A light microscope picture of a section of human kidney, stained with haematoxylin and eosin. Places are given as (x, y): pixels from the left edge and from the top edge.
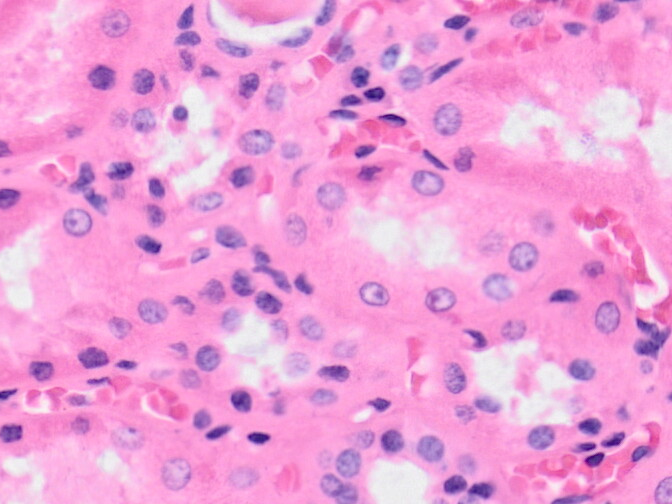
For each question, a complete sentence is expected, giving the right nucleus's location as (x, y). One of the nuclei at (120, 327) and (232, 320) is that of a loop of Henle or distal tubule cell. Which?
Of the two, the nucleus lying at (232, 320) is the one belonging to a loop of Henle or distal tubule cell.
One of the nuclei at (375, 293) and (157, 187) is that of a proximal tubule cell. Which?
Of the pair, the nucleus located at (375, 293) belongs to a proximal tubule cell.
